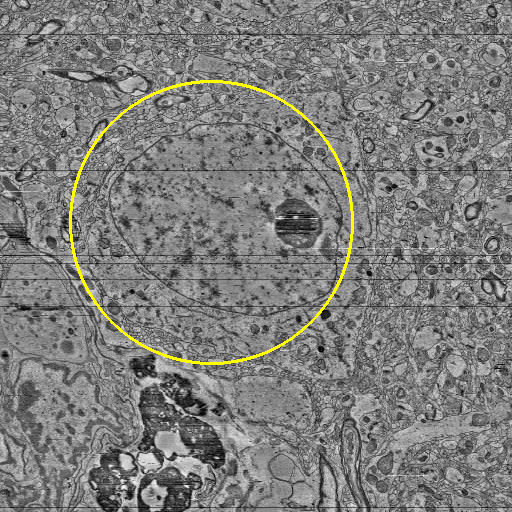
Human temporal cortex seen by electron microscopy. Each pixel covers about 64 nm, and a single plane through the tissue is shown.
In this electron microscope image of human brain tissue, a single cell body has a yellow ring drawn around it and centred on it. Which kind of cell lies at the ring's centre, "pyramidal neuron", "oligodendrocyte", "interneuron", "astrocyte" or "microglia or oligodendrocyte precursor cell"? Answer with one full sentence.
It is a pyramidal neuron whose cell body lies at the centre of the yellow ring here.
